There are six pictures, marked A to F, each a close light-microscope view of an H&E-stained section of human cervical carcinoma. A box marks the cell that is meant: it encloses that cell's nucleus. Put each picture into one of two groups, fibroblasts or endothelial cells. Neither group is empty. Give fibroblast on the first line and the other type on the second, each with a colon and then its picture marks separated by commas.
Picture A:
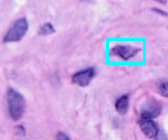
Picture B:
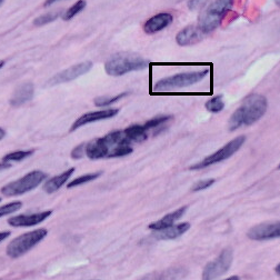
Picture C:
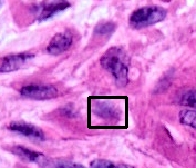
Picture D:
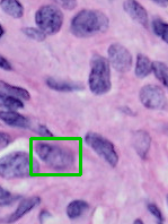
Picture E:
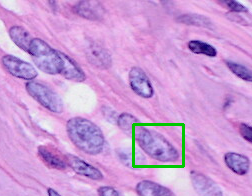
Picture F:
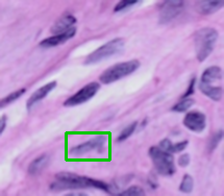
fibroblast: A, B, C, F
endothelial cell: D, E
